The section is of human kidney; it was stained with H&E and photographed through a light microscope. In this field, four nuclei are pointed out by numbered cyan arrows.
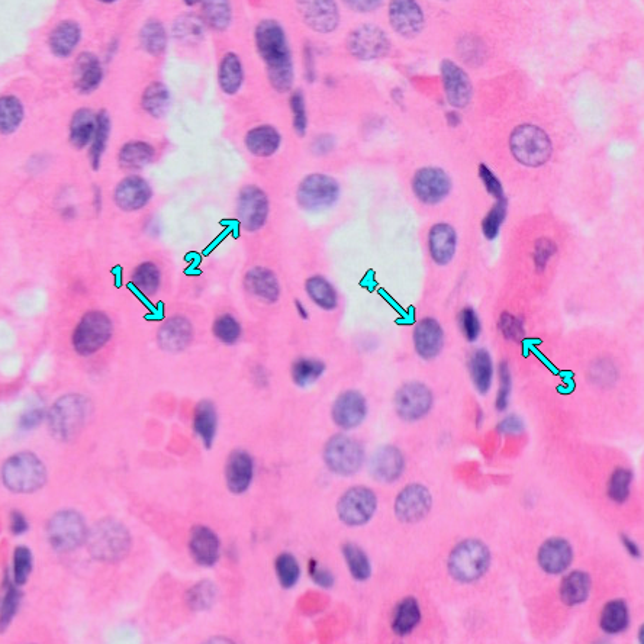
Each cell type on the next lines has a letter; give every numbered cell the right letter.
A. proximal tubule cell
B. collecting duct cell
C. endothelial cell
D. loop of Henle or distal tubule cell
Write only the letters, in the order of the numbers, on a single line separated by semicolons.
D; D; A; D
